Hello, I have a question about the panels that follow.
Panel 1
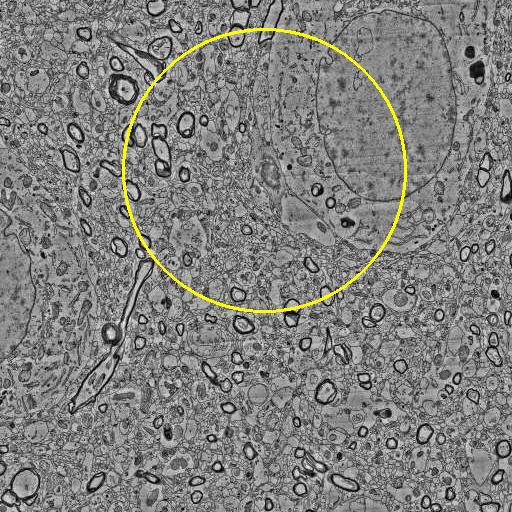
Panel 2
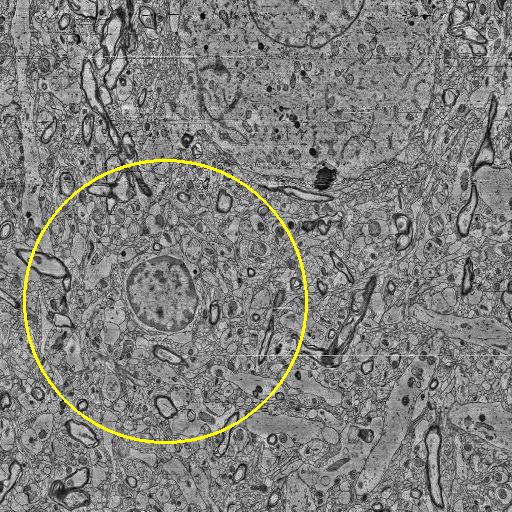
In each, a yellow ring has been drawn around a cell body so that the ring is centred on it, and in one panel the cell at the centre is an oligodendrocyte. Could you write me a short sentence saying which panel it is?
It is Panel 1.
